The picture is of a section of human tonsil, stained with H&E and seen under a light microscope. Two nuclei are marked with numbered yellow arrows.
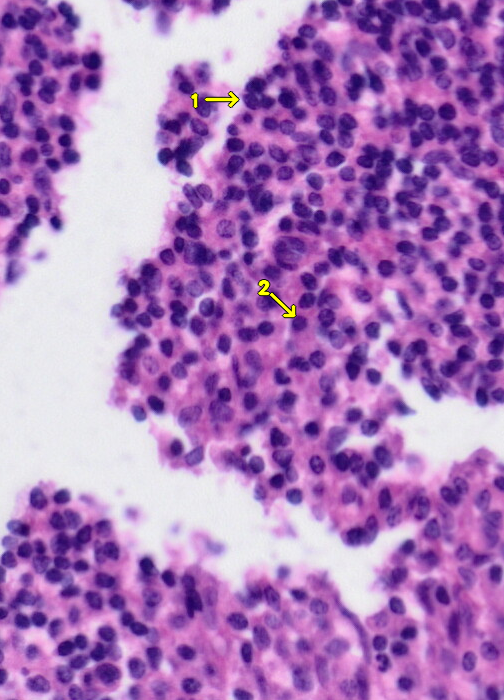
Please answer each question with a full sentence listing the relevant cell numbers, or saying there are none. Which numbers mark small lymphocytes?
Cell 1 is the only one of the numbered cells that is a small lymphocyte.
